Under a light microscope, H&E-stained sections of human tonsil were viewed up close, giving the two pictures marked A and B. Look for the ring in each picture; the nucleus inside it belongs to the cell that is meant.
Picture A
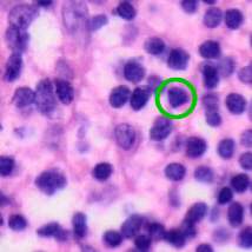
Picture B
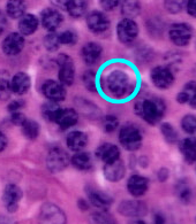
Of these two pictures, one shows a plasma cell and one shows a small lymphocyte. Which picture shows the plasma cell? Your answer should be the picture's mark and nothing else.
B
